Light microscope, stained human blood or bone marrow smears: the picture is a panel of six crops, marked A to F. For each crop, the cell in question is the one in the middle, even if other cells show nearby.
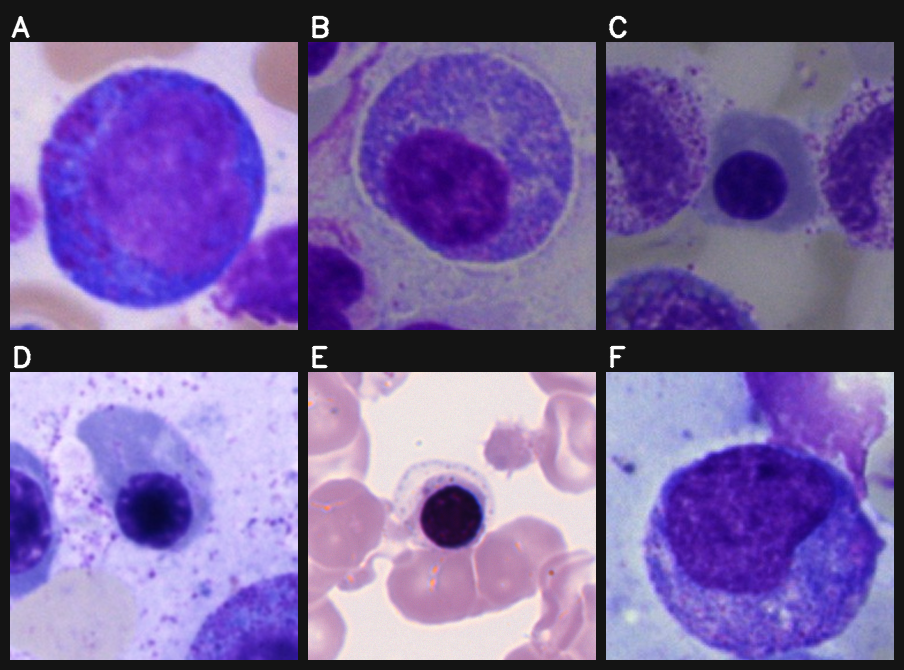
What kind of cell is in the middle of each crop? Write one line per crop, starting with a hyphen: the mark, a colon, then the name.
- A: promyelocyte
- B: promyelocyte
- C: normoblast
- D: normoblast
- E: normoblast
- F: promyelocyte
